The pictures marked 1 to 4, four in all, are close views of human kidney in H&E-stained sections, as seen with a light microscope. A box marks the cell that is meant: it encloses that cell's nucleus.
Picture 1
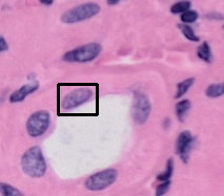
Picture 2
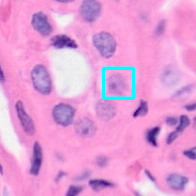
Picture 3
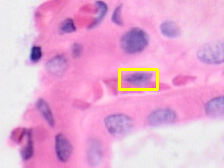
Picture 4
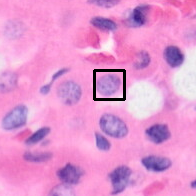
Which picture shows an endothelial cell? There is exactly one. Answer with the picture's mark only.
3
